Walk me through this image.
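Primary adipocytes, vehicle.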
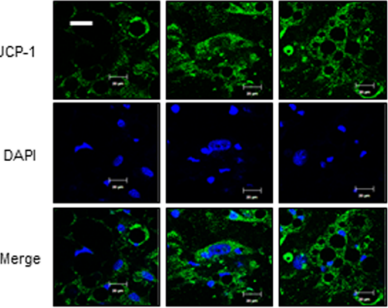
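Green signal forms bright rims around the vacuoles and patches of cytoplasm between them, so droplets appear as dark circles in green rings. Blue nuclei are sparse, oval, and sit beside or between the vacuoles at the cell edge. Green is visible in all three columns and is denser and more widespread in the second and third.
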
